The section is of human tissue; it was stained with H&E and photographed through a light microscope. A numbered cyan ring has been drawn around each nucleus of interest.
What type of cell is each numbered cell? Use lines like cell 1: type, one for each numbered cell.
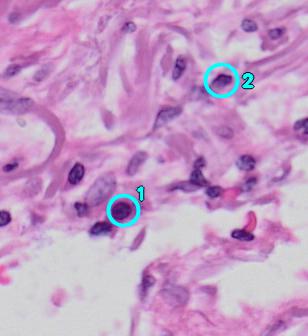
cell 1: plasma cell
cell 2: lymphocyte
